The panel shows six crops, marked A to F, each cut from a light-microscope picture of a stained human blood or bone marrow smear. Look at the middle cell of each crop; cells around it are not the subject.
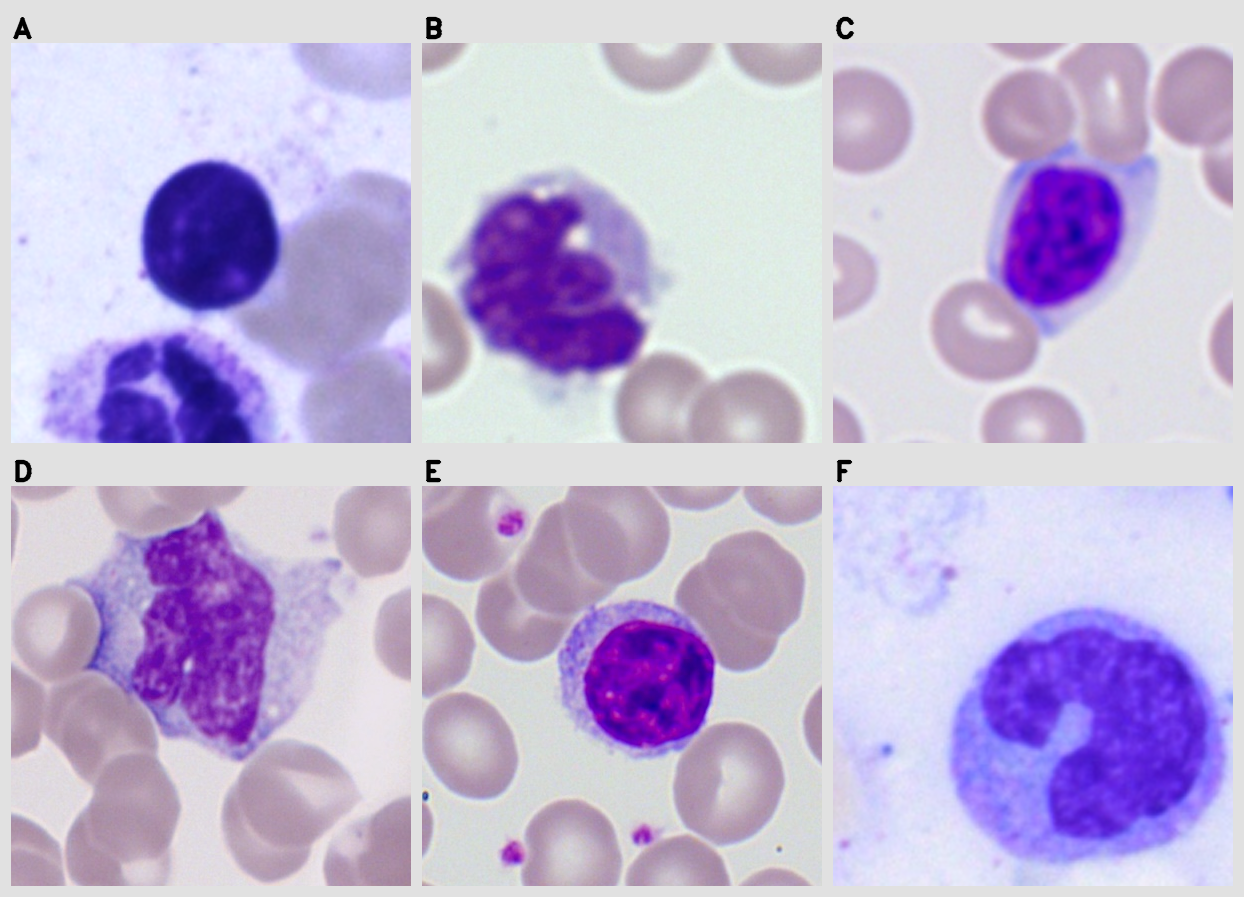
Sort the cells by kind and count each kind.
lymphocyte: 3
monocyte: 3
